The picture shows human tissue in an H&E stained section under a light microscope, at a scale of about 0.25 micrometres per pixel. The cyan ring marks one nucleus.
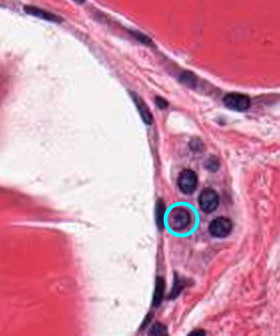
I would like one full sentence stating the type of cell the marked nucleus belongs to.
The marked nucleus is one that belongs to a thyroid follicular cell.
